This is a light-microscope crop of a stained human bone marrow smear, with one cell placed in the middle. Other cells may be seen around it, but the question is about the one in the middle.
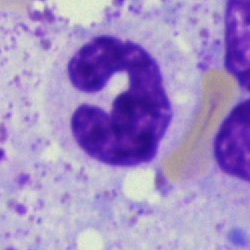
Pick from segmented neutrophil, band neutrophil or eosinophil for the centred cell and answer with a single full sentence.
Framed in the middle of the crop is a segmented neutrophil.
